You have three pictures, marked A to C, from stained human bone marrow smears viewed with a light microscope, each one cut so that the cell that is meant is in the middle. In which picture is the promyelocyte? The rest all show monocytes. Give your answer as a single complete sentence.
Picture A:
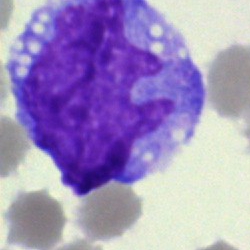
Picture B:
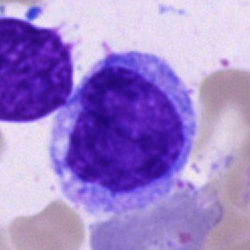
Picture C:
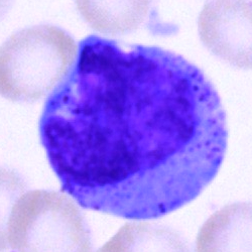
The picture with the promyelocyte is C.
